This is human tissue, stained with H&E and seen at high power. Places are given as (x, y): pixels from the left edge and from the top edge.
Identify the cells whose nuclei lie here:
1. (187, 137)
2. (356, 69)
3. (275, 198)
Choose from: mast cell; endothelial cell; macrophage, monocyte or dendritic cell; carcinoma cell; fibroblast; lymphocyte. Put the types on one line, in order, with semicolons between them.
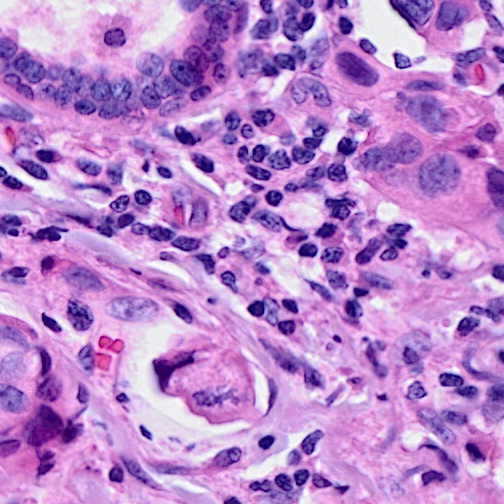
lymphocyte; carcinoma cell; lymphocyte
